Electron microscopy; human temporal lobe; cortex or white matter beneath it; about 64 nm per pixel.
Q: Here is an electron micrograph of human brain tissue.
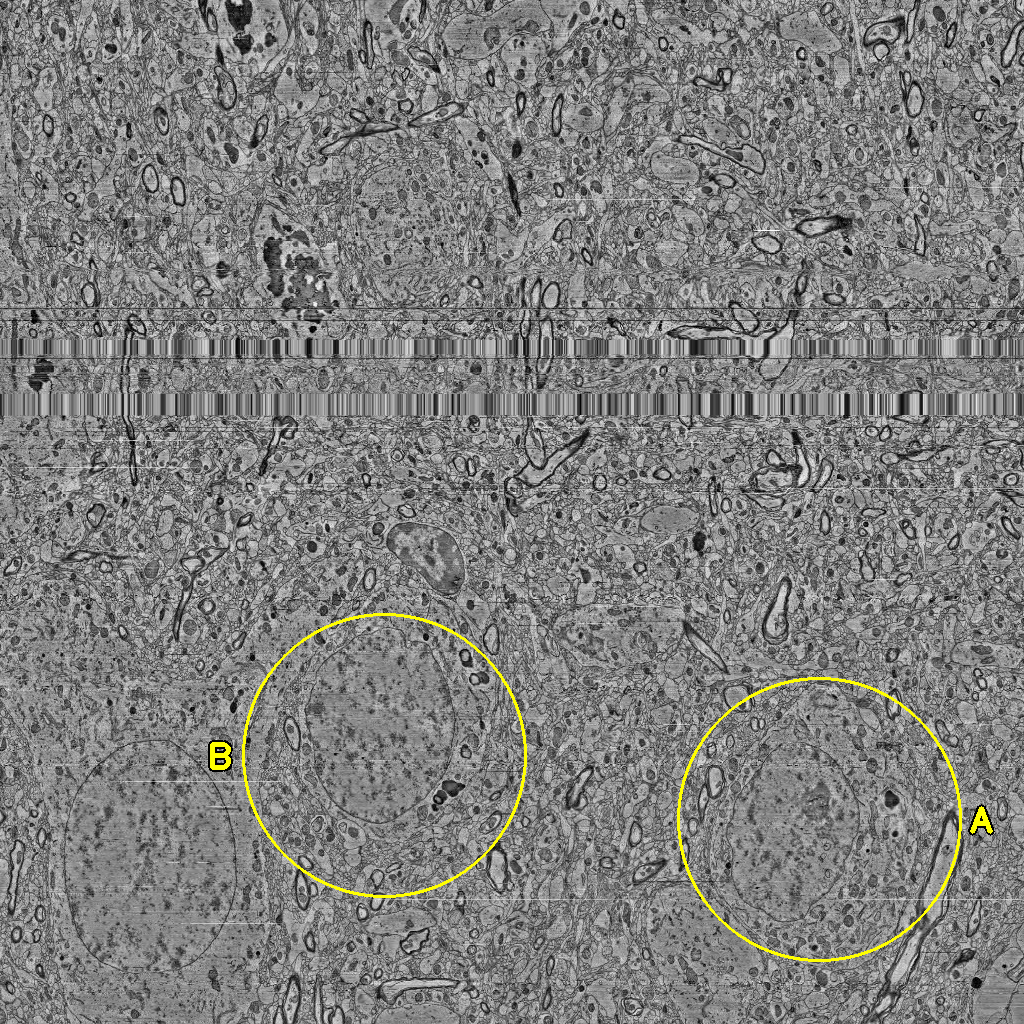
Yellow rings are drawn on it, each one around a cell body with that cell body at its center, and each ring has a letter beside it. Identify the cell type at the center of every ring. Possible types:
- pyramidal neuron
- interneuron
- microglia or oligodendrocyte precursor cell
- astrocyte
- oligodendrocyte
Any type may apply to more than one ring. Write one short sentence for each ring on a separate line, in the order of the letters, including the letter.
Centered in ring A is an interneuron.
Centered in ring B is a pyramidal neuron.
